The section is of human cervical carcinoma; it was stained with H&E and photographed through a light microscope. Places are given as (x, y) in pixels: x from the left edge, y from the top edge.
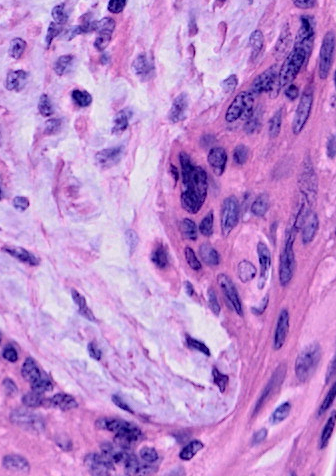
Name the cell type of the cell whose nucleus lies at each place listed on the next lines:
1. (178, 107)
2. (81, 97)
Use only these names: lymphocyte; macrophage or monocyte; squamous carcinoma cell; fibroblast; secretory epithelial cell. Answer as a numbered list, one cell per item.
1. fibroblast
2. lymphocyte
